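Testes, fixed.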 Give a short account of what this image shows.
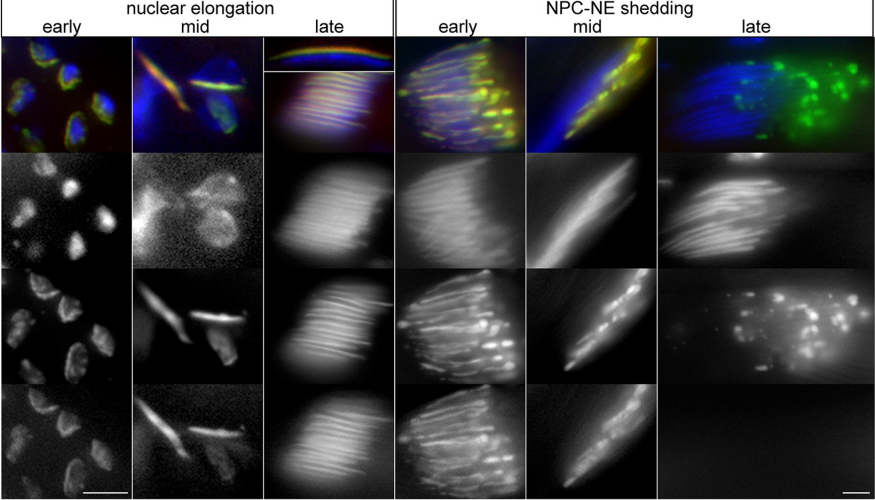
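In the earliest view, small rounded nuclei each carry green and red signal over one side. The nuclei then become flattened and thin, and later many slender nuclei are aligned in parallel bundles with the signal running along them. In the last view, the blue nuclei remain as parallel needles, while the green signal has gathered into separate round clumps off to one side, and the red signal is no longer seen.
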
